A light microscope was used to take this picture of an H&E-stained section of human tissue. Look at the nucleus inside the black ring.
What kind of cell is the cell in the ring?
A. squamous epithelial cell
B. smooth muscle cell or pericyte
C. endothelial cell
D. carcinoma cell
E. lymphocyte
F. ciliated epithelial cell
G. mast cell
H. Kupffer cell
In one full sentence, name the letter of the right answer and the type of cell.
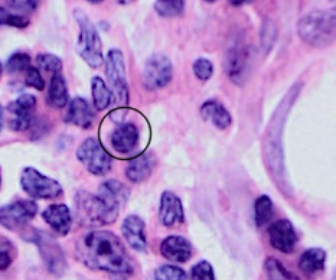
Looking at the options, pick E; the cell in the ring is a lymphocyte.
